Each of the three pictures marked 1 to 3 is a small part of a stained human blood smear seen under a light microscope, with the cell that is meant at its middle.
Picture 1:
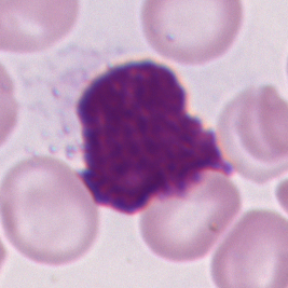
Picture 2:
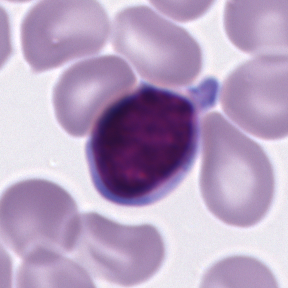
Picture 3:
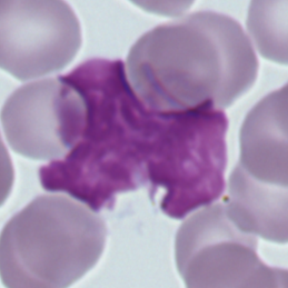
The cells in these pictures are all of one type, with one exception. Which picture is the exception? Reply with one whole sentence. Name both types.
The different one is picture 2; it shows a typical lymphocyte, whereas all the others show smudge cells.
